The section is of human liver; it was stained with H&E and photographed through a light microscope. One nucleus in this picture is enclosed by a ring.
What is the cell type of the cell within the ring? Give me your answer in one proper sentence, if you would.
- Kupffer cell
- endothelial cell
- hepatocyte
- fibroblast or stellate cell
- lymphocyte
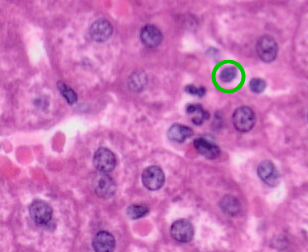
In this section of tissue, the cell within the ring is a lymphocyte.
